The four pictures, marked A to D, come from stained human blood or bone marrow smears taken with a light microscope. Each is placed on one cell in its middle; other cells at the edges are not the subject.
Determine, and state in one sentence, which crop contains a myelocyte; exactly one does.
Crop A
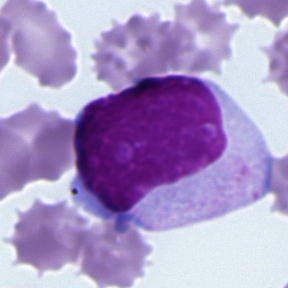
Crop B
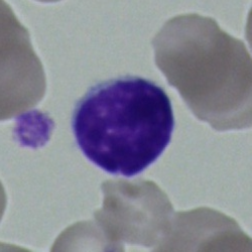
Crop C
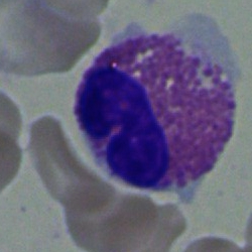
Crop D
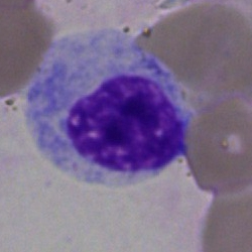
Among these crops, crop D holds a myelocyte.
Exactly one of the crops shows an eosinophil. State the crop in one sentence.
Of the cells presented, the one in crop C is an eosinophil.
